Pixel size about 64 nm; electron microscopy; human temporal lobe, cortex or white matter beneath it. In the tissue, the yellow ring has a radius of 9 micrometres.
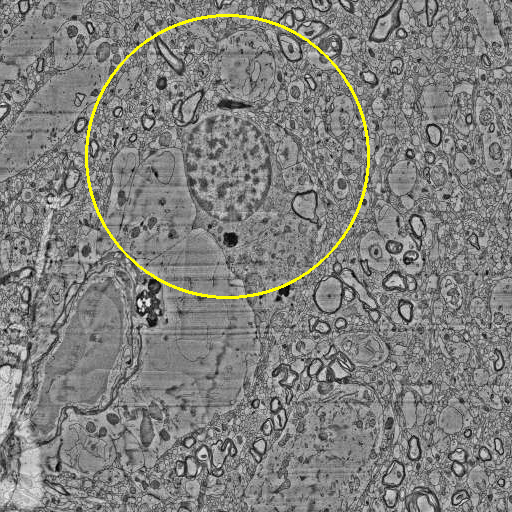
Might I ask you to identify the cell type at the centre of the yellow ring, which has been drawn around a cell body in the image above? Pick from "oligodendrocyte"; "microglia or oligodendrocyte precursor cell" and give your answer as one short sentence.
The centre of the ring falls on an oligodendrocyte.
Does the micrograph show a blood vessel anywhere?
Yes, there is a blood vessel in the image.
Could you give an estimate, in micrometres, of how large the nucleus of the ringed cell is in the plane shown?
The nucleus has a long axis of about 7 micrometres and a short axis of about 6 micrometres in this plane.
